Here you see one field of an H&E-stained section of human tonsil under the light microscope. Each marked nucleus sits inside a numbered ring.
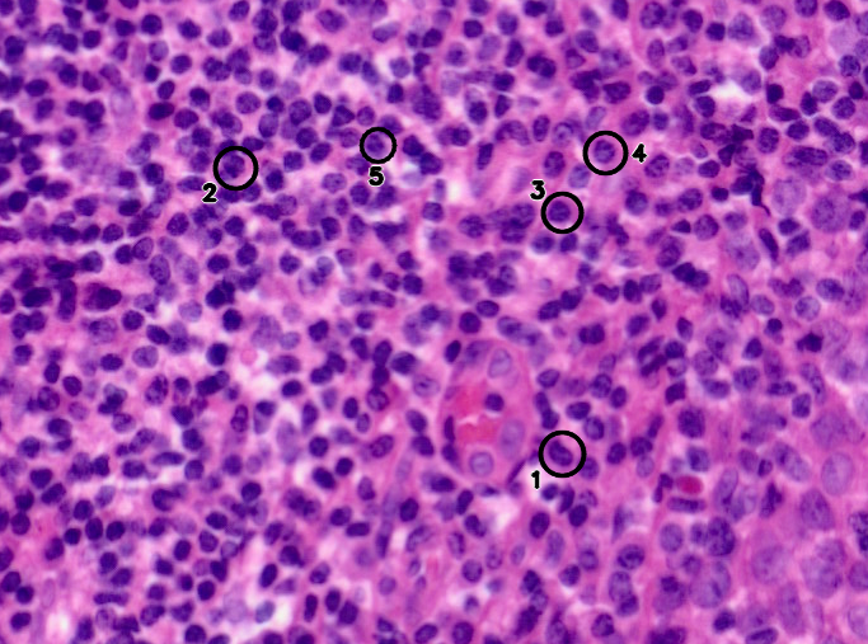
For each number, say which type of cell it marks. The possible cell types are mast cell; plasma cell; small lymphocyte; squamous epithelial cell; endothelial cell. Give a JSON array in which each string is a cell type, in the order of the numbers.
["plasma cell", "small lymphocyte", "plasma cell", "plasma cell", "small lymphocyte"]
